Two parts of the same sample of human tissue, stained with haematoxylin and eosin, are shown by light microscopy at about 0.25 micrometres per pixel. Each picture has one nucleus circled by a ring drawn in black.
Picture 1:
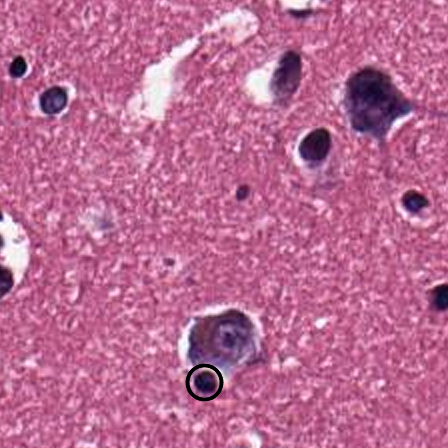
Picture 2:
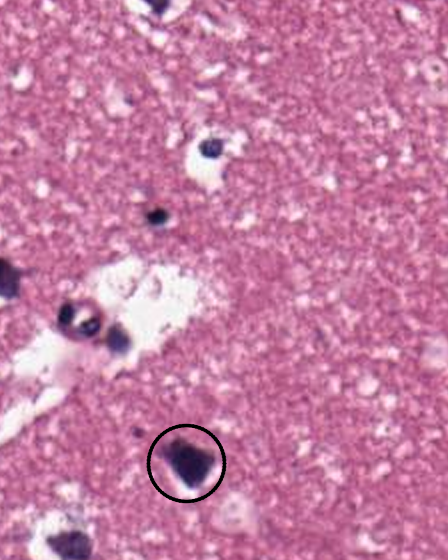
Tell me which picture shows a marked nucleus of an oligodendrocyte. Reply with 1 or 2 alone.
1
